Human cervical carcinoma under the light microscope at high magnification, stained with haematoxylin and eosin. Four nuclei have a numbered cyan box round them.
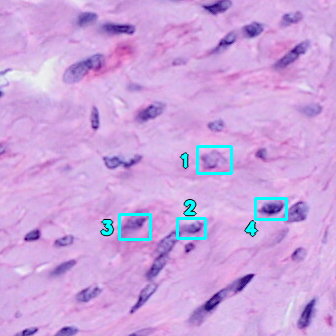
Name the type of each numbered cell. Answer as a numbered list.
1. smooth muscle cell
2. fibroblast
3. smooth muscle cell
4. fibroblast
